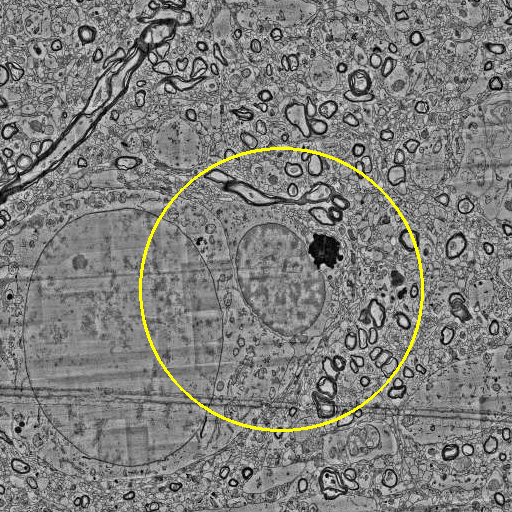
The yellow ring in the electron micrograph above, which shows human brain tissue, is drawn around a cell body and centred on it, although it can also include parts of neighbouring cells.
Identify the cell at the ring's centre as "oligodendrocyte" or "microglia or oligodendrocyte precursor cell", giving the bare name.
oligodendrocyte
